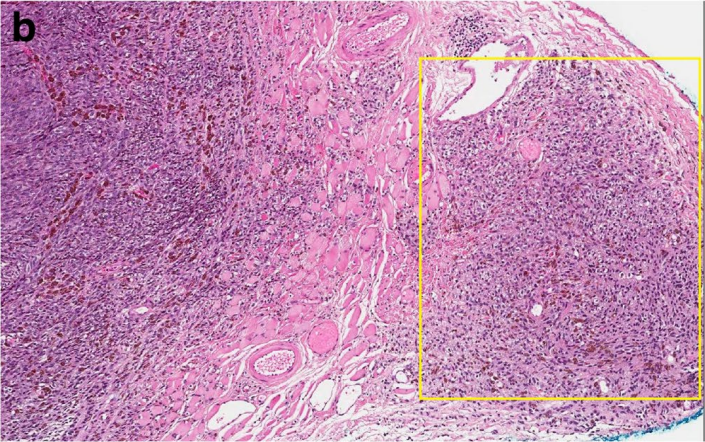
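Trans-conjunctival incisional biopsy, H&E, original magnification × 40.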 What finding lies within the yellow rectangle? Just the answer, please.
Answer: less cellular lesion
